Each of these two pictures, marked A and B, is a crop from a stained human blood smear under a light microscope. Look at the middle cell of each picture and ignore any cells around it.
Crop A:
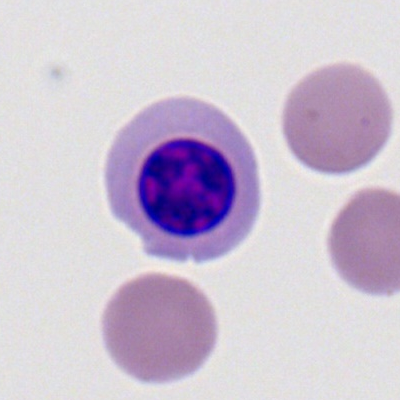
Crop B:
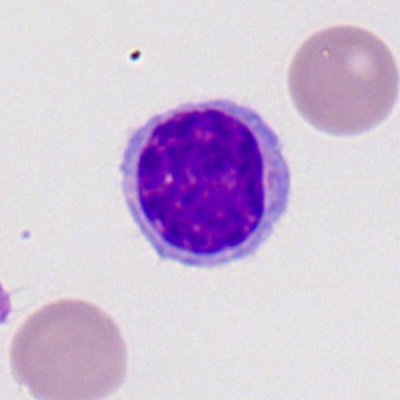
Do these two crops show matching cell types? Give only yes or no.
no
